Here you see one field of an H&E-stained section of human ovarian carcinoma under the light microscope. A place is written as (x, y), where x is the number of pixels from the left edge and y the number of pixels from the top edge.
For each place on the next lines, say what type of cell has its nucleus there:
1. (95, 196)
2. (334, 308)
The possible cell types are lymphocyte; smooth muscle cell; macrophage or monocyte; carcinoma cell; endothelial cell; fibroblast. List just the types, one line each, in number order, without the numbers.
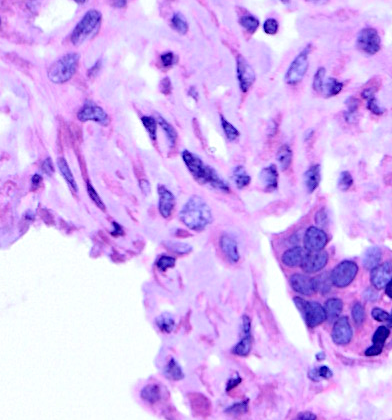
fibroblast
carcinoma cell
